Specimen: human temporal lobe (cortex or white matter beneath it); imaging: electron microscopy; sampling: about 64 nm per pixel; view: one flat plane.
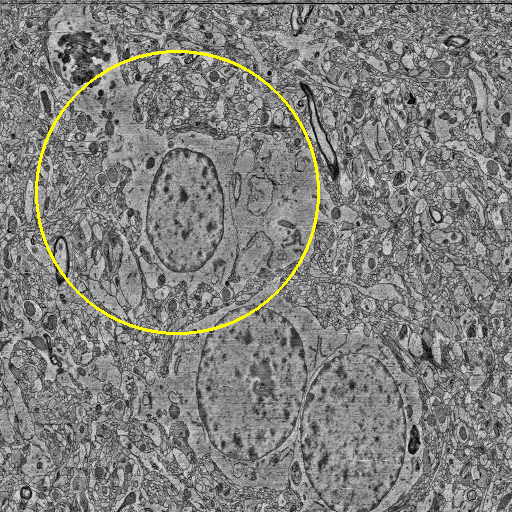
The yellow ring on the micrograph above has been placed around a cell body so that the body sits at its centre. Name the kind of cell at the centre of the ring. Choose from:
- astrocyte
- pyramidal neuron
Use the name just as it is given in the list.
astrocyte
